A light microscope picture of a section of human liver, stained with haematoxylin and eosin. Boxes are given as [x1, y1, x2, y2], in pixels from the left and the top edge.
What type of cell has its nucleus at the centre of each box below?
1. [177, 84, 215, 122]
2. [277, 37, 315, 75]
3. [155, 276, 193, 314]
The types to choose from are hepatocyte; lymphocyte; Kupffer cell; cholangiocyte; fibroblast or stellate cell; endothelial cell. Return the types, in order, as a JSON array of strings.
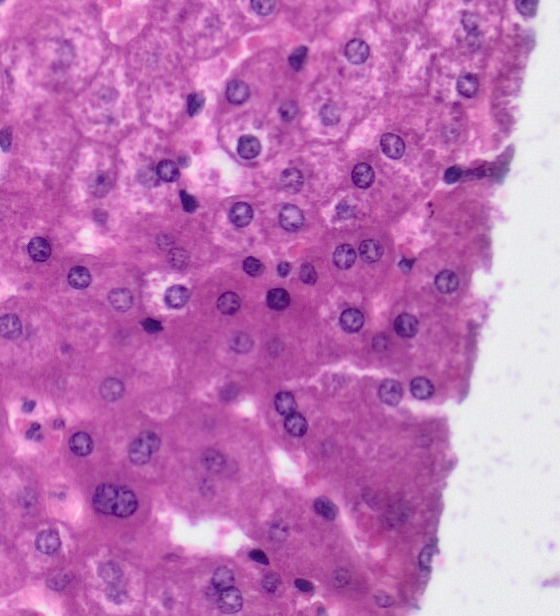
["endothelial cell", "endothelial cell", "hepatocyte"]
